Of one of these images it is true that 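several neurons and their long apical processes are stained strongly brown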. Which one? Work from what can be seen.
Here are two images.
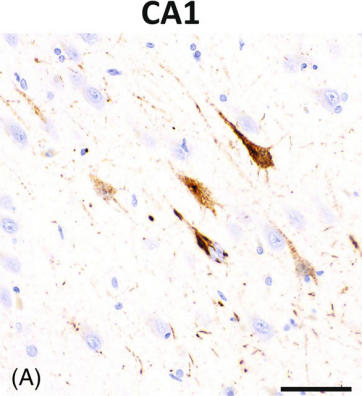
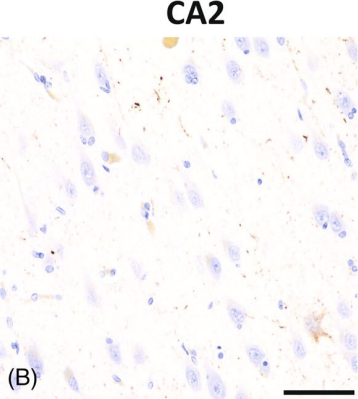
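Second image: nearly all cell bodies are pale, with blue nuclei and little brown stain. First image: a few triangular cell bodies and their long processes are dark brown.
The first image.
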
